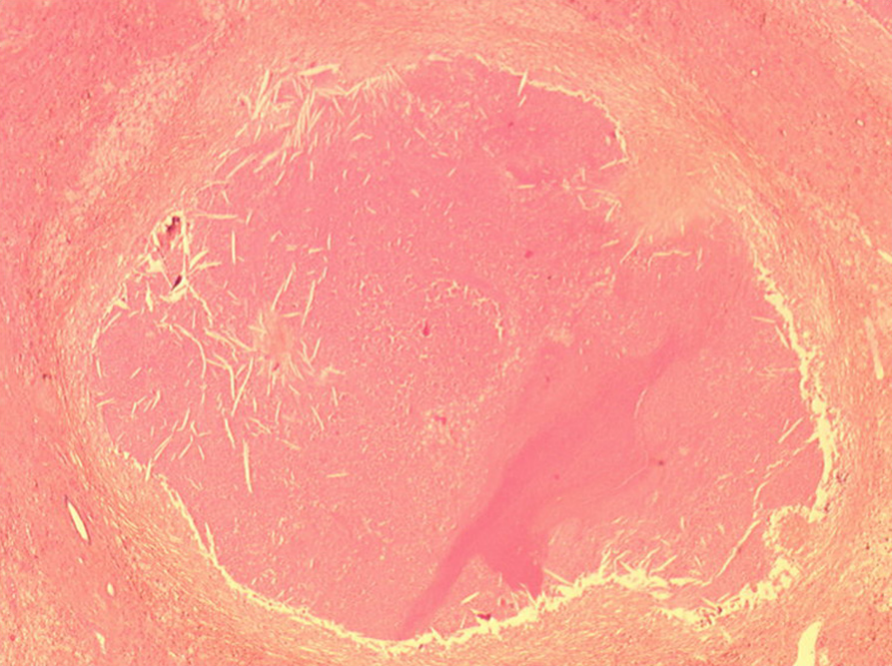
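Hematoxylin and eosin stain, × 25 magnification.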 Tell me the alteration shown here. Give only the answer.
eosinophilic amorphous necrosis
